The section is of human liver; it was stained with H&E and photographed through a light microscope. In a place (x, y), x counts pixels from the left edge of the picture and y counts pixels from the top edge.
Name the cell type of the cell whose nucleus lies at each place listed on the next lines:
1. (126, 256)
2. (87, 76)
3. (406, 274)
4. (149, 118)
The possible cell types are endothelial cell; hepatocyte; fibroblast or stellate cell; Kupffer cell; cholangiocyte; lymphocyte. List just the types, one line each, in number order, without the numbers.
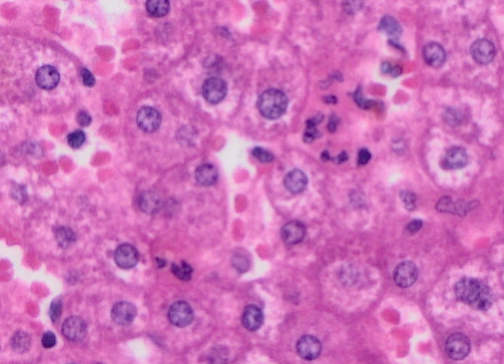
hepatocyte
fibroblast or stellate cell
hepatocyte
hepatocyte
